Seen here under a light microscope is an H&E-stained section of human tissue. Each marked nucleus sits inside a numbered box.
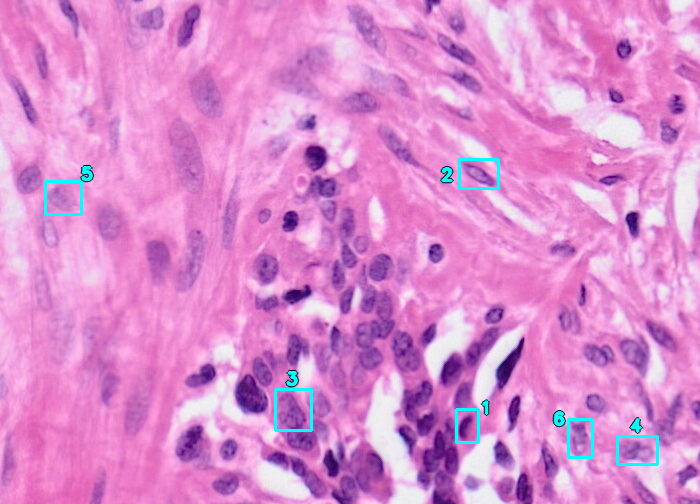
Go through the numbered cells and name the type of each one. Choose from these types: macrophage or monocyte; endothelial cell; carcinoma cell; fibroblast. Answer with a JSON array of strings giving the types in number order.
["carcinoma cell", "fibroblast", "carcinoma cell", "fibroblast", "fibroblast", "fibroblast"]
